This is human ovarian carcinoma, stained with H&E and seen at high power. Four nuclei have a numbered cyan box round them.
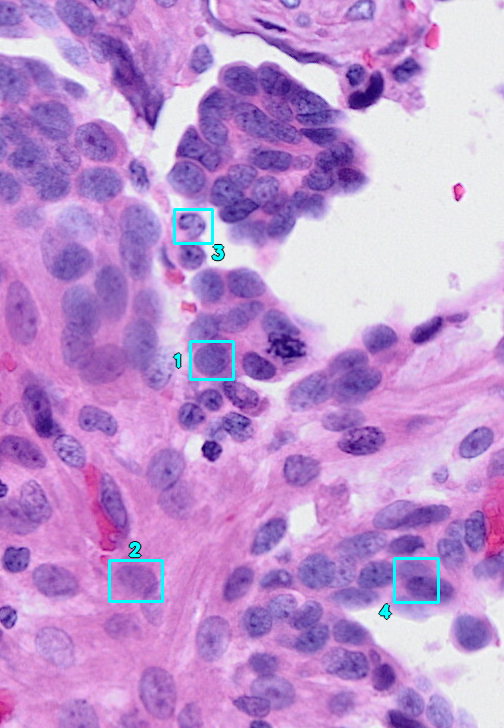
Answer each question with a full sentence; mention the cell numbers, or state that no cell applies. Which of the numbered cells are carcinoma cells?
The cells the numbers 1 and 4 point to are carcinoma cells.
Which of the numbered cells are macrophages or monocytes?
In this set of numbered cells, only cell 3 is a macrophage or monocyte.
